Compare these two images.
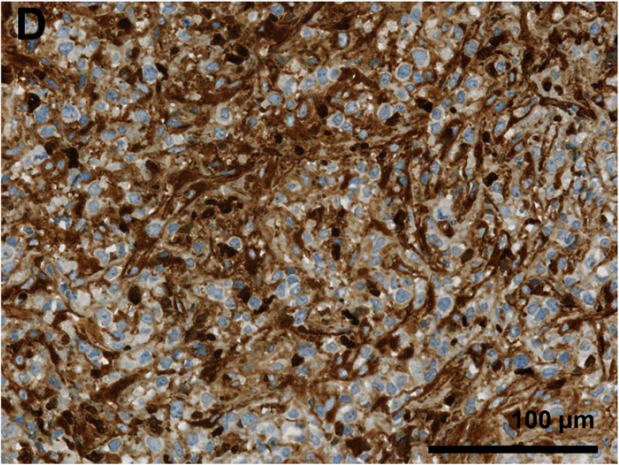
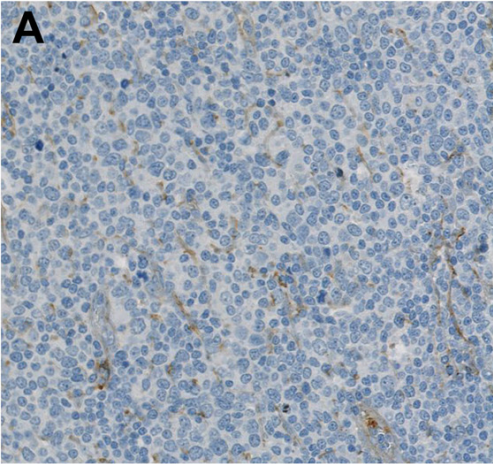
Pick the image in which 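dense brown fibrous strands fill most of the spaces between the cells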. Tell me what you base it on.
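First image: heavy brown staining forms a thick meshwork obscuring much of the field between cells. Second image: only faint, sparse thin brown lines among the blue-counterstained cells. That points to this answer: the first image.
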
